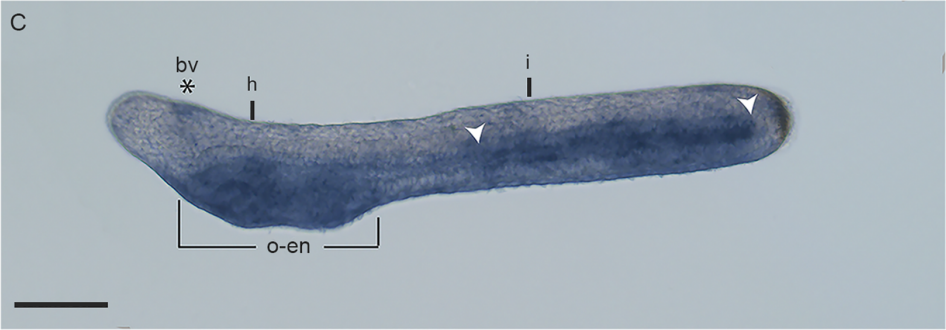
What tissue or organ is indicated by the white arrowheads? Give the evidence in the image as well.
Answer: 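The arrowheads lie on a dark stained tube running lengthwise along the ventral half of the body. The dark band spans from mid-body to near the posterior end.
Conclusion: gut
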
